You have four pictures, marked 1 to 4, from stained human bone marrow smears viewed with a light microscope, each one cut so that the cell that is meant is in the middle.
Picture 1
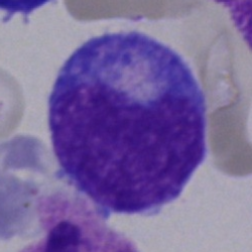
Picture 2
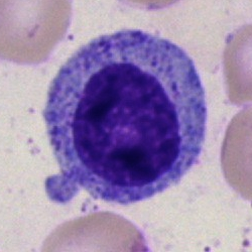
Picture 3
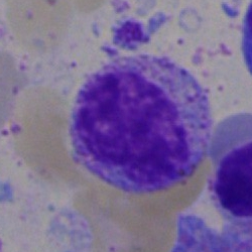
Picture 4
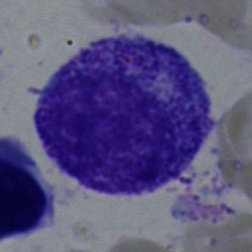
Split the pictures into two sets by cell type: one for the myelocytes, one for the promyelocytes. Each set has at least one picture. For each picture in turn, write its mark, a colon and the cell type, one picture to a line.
1: promyelocyte
2: myelocyte
3: myelocyte
4: promyelocyte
